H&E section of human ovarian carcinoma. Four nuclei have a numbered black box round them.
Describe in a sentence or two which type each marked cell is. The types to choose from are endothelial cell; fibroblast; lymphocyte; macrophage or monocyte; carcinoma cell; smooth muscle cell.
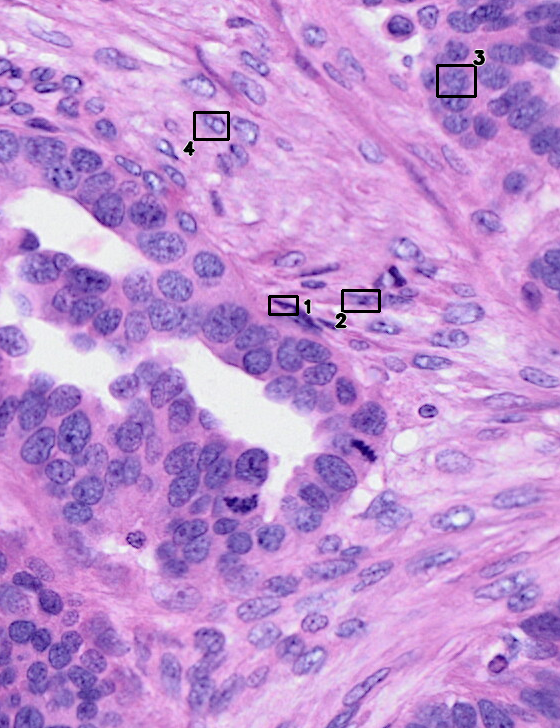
Cell 1 is a fibroblast, cell 2 is a fibroblast, cell 3 is a carcinoma cell and cell 4 is a fibroblast.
